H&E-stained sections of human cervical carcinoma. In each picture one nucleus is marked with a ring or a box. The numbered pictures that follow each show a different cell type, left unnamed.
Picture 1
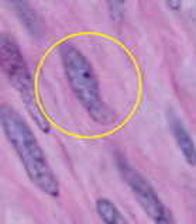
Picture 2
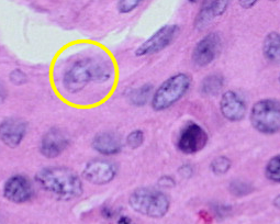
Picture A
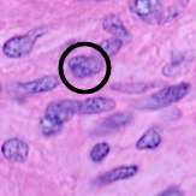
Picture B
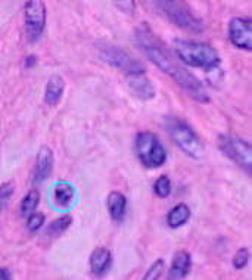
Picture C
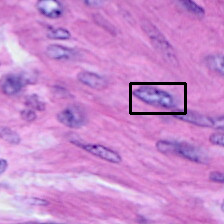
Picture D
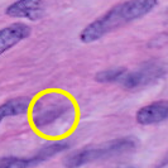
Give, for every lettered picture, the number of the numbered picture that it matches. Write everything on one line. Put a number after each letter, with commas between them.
A 1, B 1, C 1, D 1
